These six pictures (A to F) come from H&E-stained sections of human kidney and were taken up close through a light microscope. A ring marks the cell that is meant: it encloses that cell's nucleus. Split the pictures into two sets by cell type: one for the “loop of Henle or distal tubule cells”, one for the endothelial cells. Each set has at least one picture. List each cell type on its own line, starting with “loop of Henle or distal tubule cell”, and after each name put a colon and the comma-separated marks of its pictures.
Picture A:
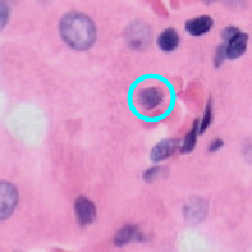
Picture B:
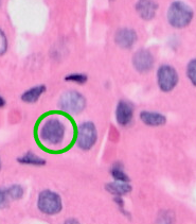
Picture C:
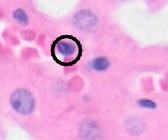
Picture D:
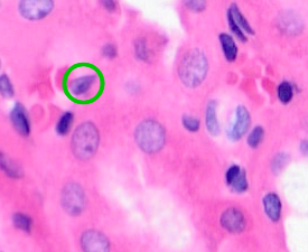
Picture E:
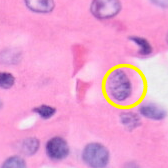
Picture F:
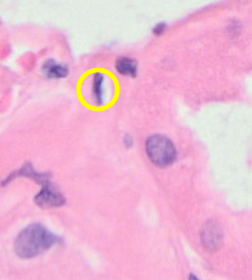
loop of Henle or distal tubule cell: B, E
endothelial cell: A, C, D, F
